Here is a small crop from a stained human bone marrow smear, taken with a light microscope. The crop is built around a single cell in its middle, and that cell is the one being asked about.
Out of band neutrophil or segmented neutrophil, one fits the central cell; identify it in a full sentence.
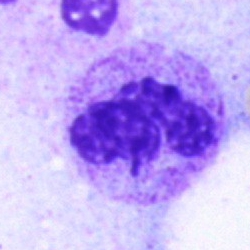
The centrally located cell in the crop is a segmented neutrophil.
